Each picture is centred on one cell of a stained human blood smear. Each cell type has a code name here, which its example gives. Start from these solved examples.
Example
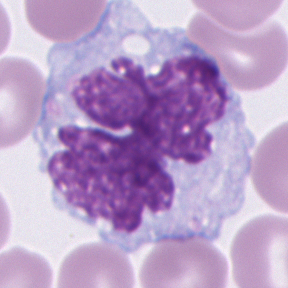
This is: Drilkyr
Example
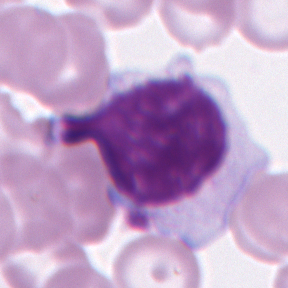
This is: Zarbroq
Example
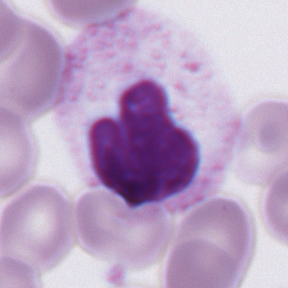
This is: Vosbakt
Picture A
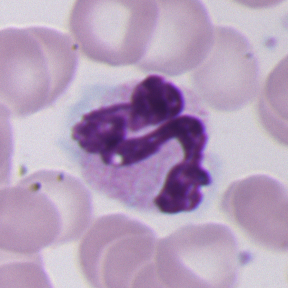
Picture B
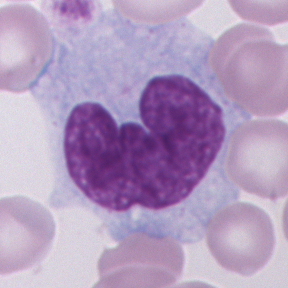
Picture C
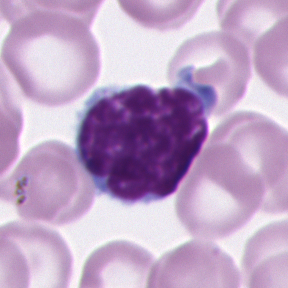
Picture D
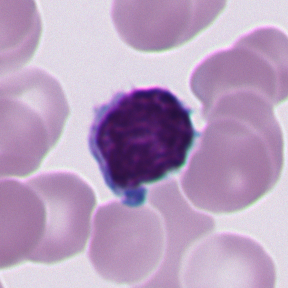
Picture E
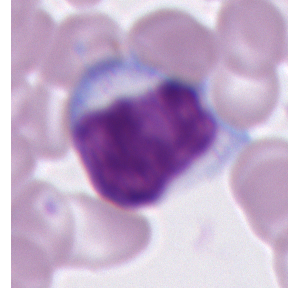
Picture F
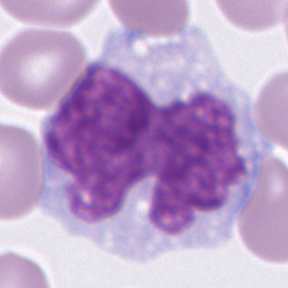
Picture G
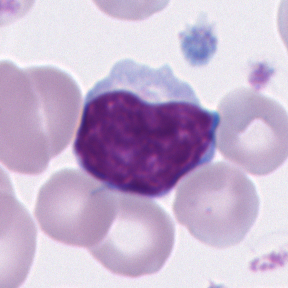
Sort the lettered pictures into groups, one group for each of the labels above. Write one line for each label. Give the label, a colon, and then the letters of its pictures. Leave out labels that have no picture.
Drilkyr: B, F
Zarbroq: C, D, E, G
Vosbakt: A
